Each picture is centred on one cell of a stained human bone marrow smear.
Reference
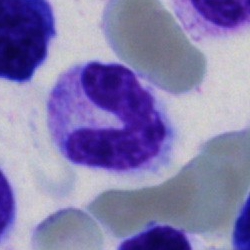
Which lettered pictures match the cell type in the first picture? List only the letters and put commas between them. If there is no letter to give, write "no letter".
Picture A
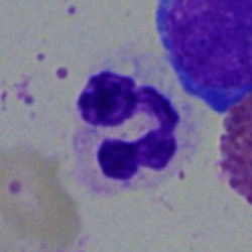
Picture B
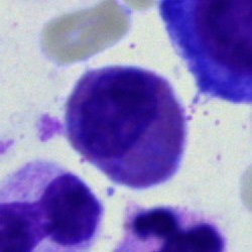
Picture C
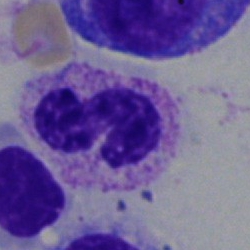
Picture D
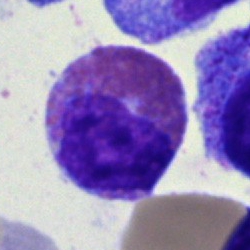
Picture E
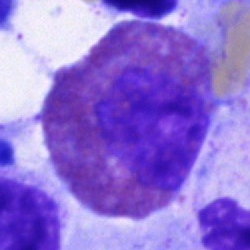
A, C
